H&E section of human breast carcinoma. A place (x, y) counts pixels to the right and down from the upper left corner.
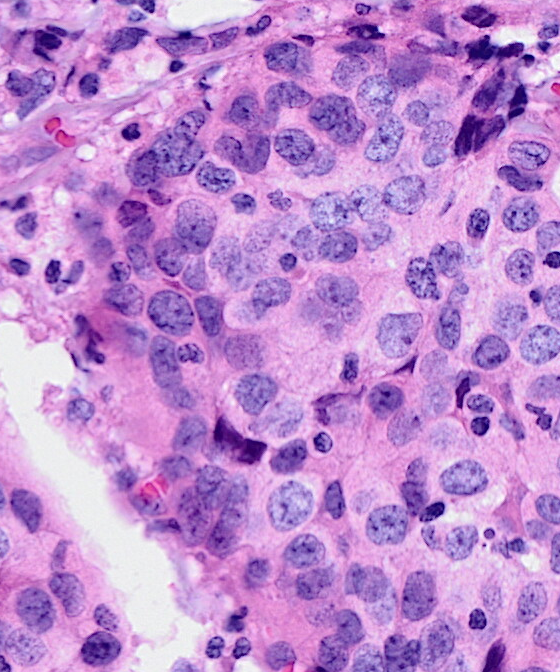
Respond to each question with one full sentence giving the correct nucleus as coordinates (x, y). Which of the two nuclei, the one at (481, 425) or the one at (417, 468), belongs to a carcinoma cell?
The nucleus whose cell is a carcinoma cell is the one at (417, 468).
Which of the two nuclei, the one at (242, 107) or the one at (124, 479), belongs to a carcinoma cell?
Lying within a carcinoma cell is the nucleus at (242, 107).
